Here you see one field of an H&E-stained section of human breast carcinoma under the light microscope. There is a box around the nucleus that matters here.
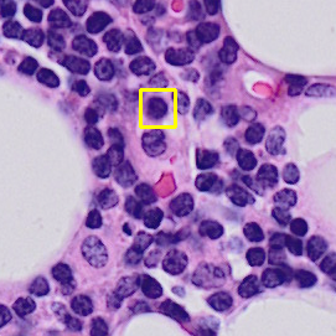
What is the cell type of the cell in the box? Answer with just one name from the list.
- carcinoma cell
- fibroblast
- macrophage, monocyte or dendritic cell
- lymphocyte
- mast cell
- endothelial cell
lymphocyte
